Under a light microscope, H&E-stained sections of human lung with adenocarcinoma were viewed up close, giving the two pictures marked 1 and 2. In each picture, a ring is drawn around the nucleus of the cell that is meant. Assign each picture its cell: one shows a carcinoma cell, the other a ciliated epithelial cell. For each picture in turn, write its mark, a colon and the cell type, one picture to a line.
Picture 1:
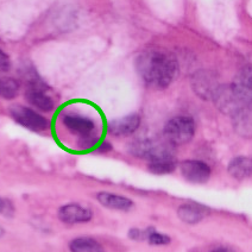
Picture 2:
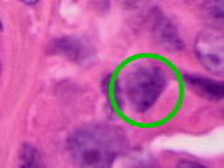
1: ciliated epithelial cell
2: carcinoma cell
